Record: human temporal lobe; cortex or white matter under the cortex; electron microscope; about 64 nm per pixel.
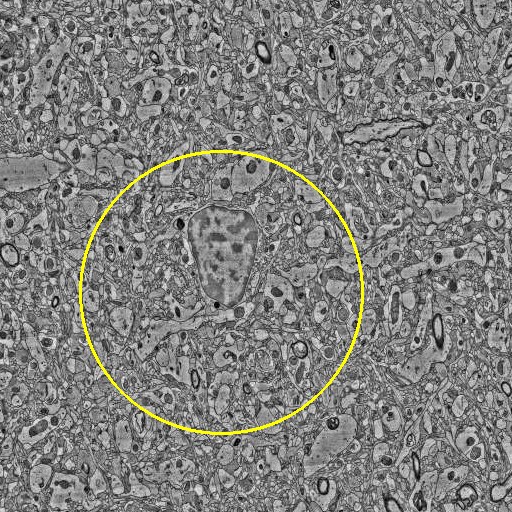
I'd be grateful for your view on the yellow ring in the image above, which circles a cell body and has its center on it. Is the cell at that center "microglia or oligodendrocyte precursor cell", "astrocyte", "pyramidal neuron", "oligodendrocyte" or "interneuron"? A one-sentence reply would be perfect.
The cell at the center of the yellow ring is a microglial cell or oligodendrocyte precursor cell.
